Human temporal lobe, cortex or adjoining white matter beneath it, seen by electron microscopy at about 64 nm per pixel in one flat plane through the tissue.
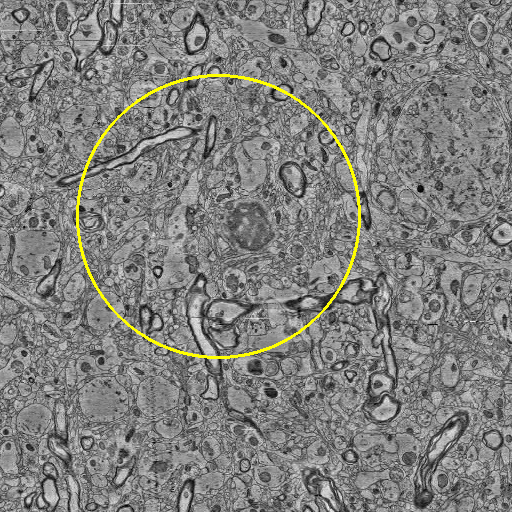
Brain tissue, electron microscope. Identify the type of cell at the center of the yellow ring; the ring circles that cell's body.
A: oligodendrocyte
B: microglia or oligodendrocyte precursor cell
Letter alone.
A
